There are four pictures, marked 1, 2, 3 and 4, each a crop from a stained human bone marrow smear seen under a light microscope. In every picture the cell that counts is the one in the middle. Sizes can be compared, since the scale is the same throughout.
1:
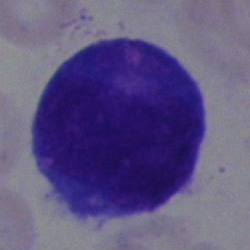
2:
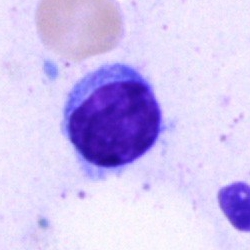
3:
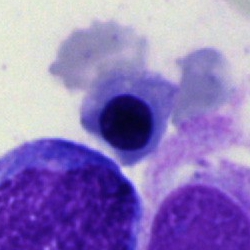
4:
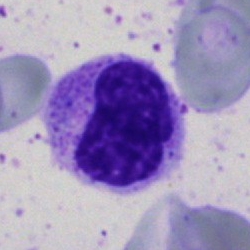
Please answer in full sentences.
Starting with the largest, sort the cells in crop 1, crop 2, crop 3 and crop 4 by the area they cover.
Going down, they run 1, 4, 2, 3.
